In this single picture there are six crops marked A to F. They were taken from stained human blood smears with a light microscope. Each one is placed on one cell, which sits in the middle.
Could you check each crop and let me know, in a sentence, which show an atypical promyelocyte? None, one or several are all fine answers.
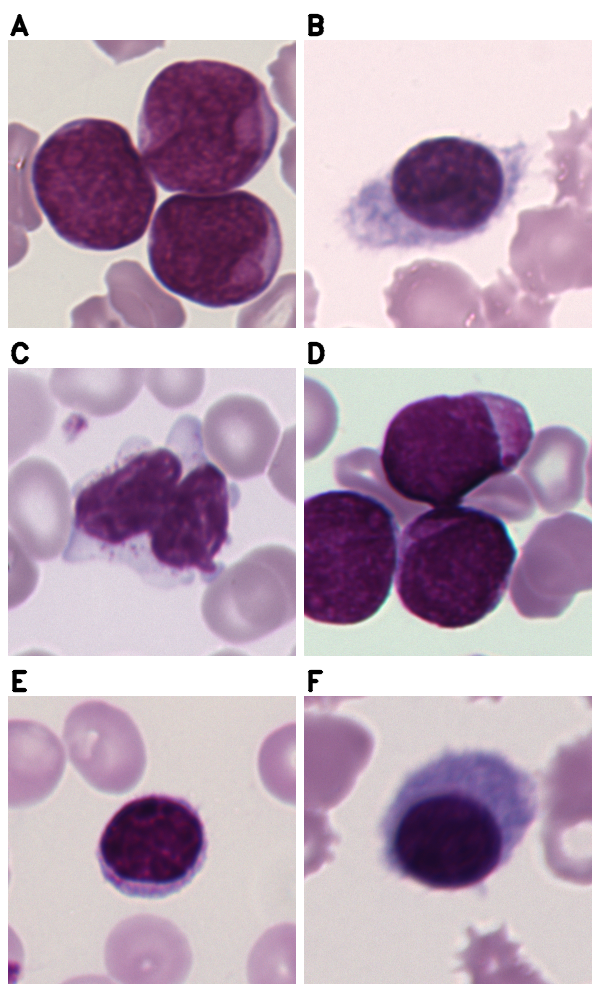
Each crop centres on something other than an atypical promyelocyte.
